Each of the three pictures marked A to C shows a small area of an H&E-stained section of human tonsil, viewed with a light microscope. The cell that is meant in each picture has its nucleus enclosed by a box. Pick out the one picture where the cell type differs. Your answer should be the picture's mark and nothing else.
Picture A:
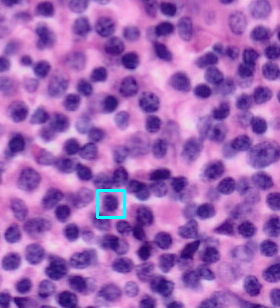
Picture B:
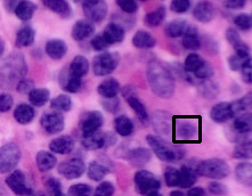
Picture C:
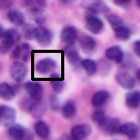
B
